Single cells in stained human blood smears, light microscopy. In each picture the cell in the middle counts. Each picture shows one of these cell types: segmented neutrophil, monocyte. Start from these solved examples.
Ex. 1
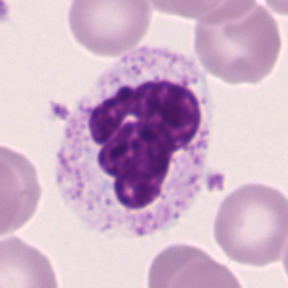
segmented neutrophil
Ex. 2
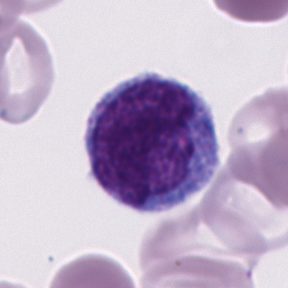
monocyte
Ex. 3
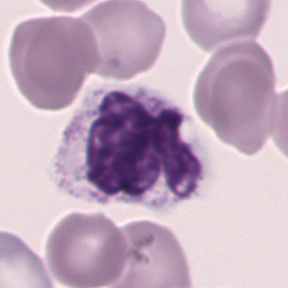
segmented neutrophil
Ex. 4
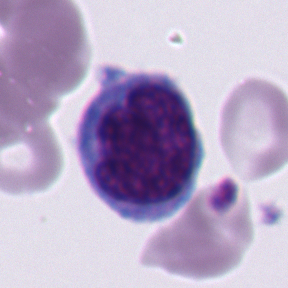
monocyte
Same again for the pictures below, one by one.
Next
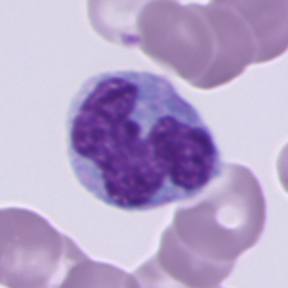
monocyte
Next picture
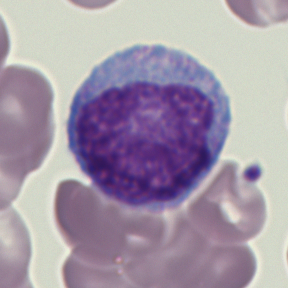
monocyte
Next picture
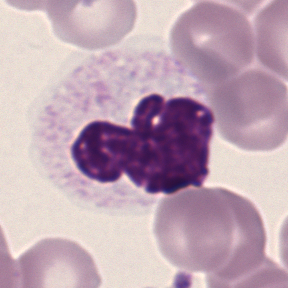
segmented neutrophil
